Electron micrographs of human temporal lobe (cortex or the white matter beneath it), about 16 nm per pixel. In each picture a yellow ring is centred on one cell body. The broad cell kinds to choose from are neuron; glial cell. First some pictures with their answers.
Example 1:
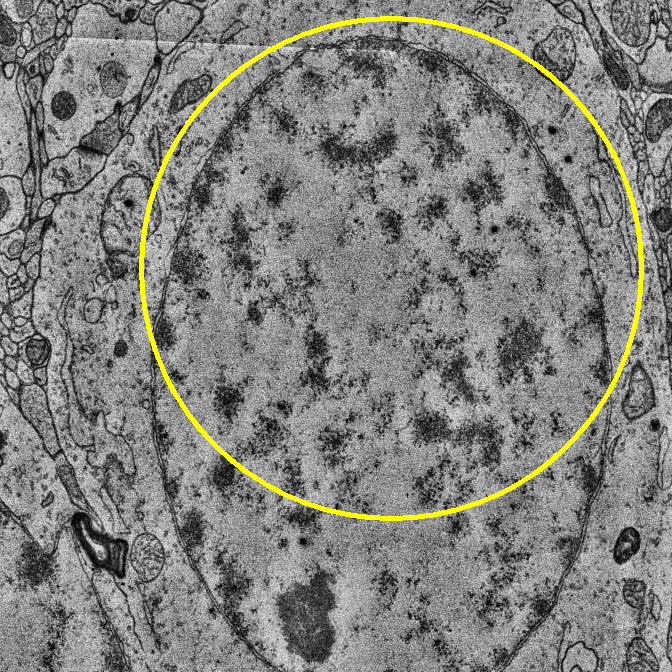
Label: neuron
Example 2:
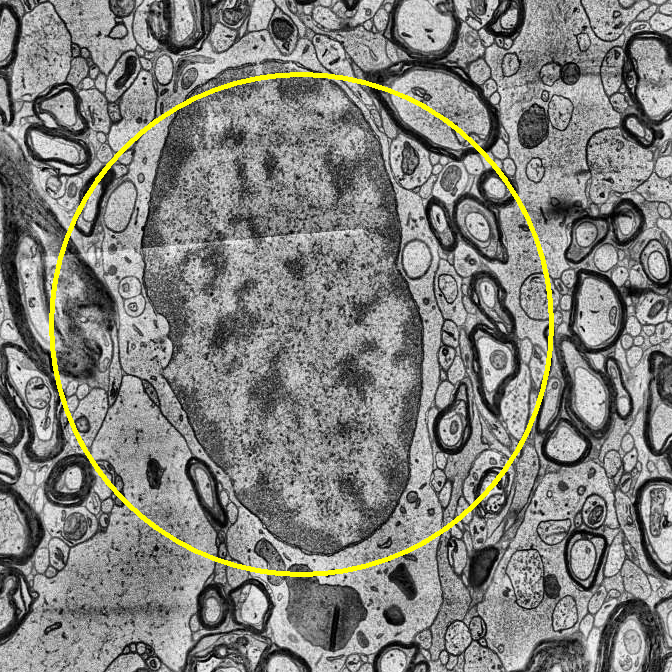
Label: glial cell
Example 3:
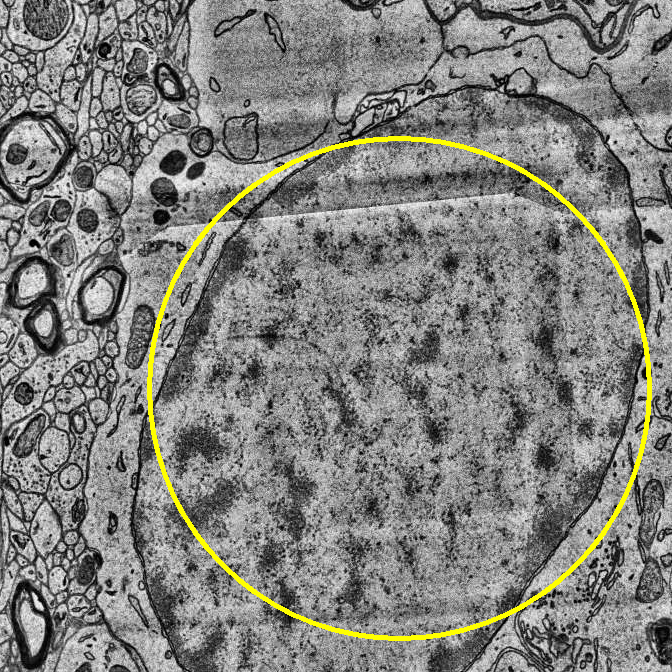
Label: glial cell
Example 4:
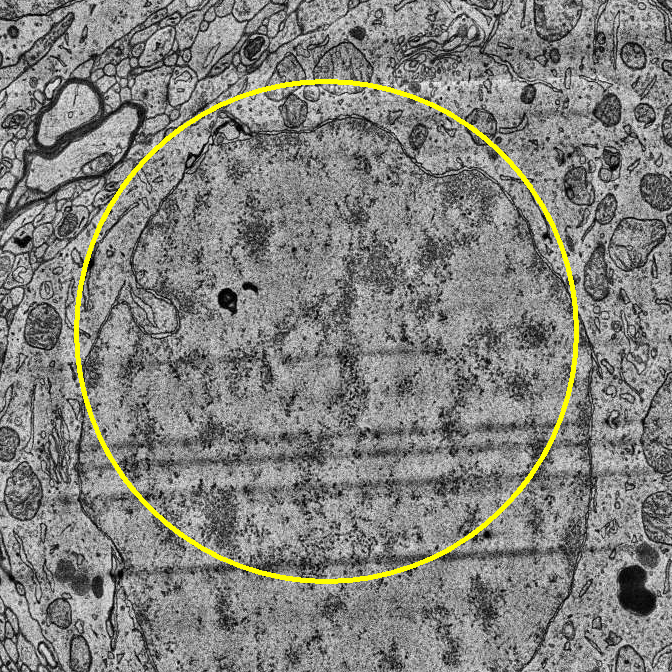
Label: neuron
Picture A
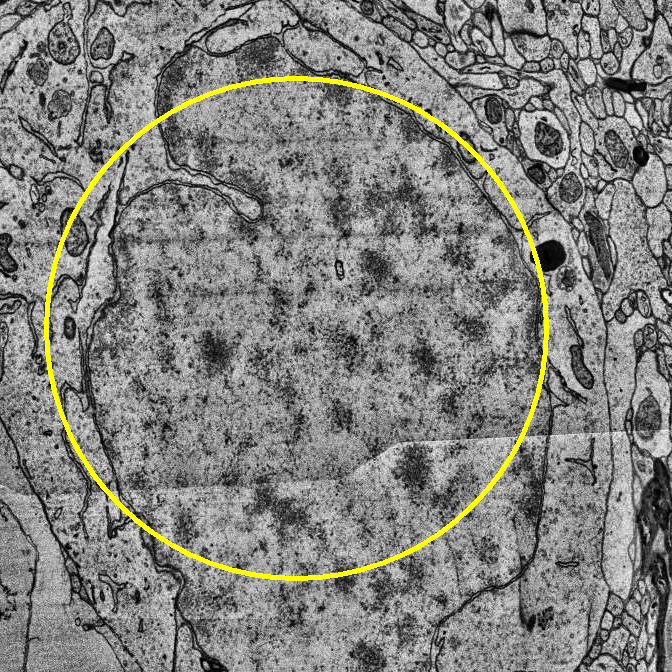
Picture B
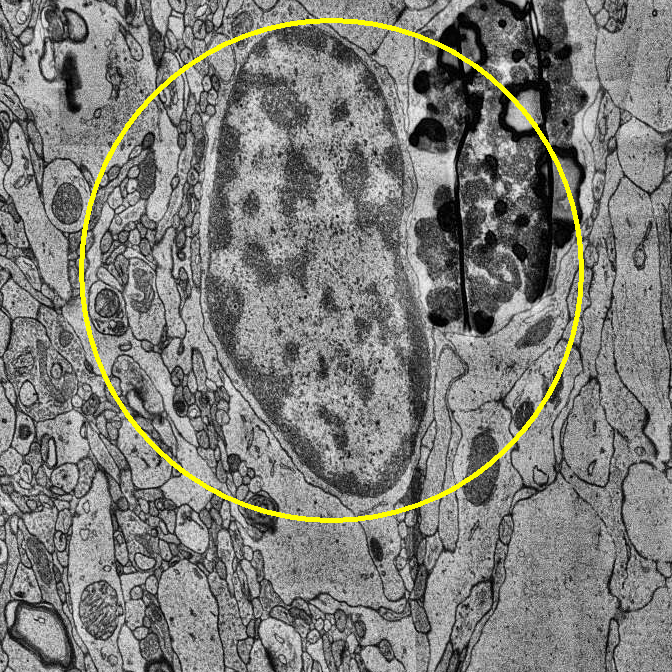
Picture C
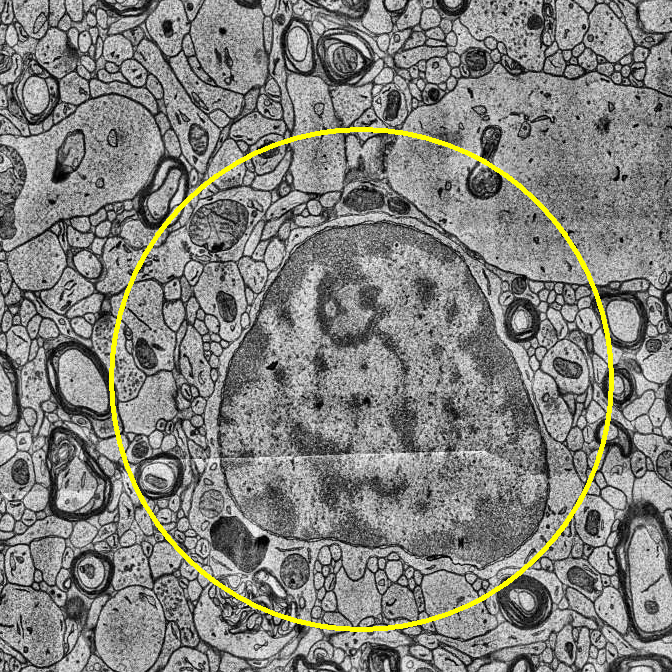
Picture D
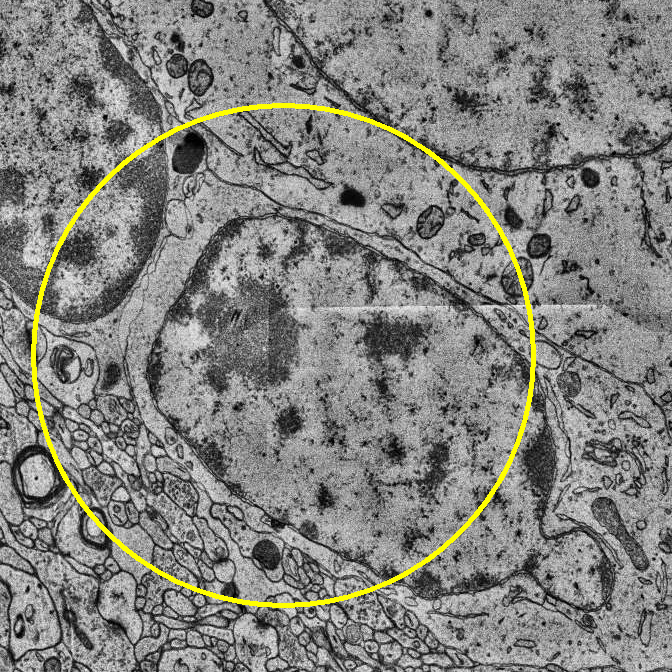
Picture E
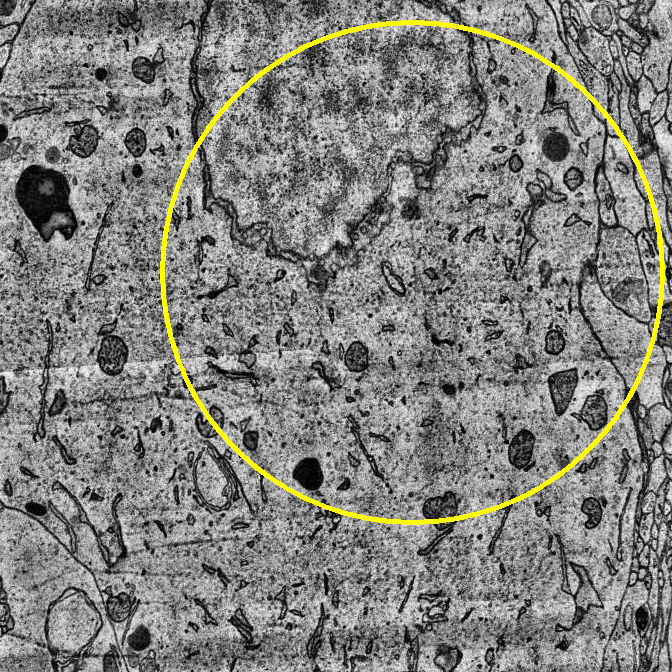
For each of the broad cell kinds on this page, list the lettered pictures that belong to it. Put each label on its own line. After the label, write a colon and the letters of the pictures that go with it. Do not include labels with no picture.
neuron: A, E
glial cell: B, C, D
